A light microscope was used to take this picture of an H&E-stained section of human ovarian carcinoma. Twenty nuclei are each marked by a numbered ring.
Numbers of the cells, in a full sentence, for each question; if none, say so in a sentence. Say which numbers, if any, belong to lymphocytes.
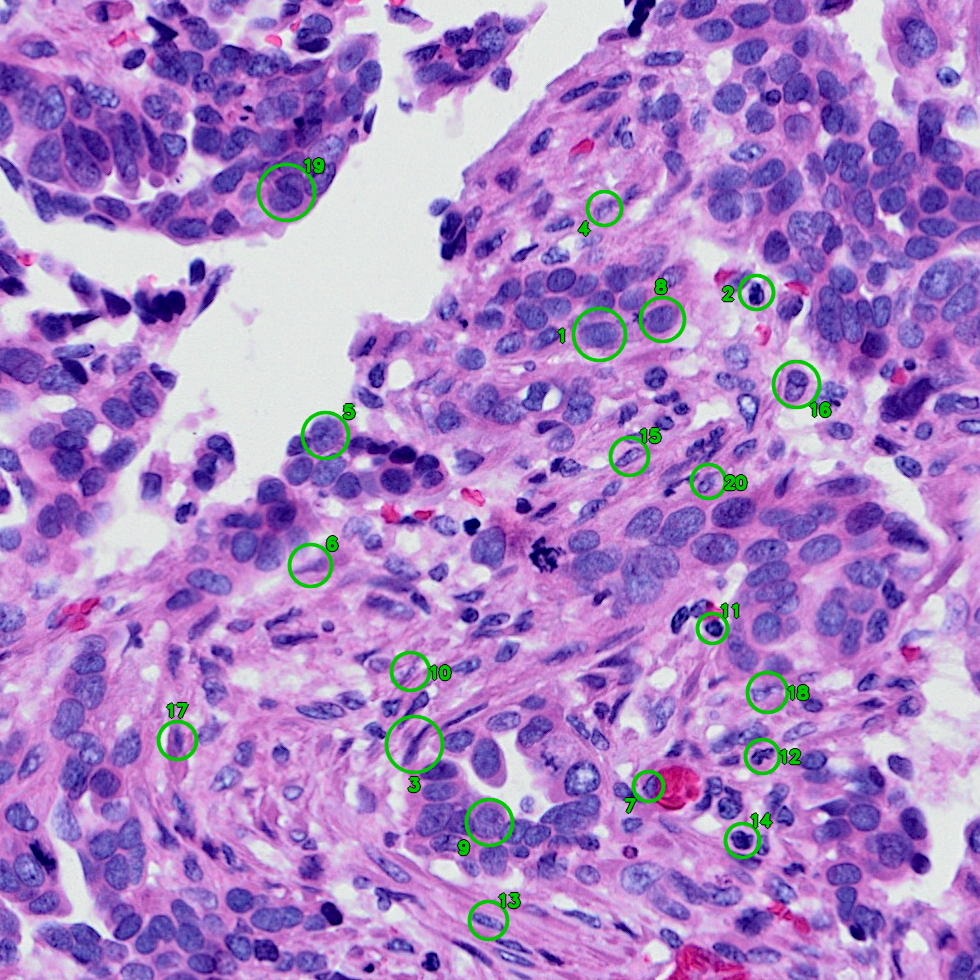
The cells carrying labels 2, 11, 12 and 14 are lymphocytes.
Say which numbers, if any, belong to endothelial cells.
The cell bearing the number 7 is an endothelial cell, unlike the rest of the numbered cells.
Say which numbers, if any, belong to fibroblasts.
The cells marked 3, 4, 6, 10, 13, 15, 17, 18 and 20 in the section are fibroblasts.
